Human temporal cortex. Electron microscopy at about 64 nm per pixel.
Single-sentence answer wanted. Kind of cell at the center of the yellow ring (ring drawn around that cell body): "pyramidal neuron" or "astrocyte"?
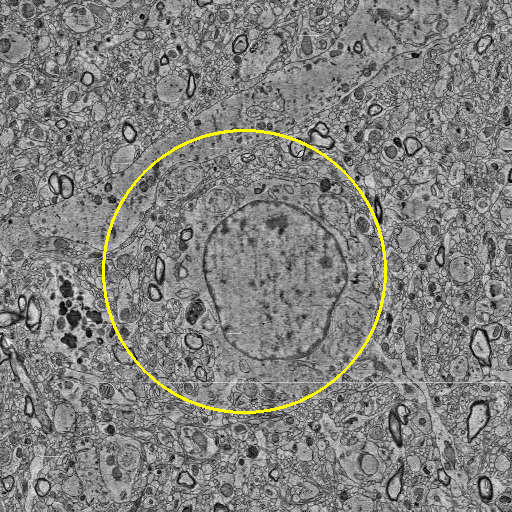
The cell centered in the ring is an astrocyte.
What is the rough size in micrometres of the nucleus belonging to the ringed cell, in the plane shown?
In this plane, about 11 micrometres in length and 9 in width.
